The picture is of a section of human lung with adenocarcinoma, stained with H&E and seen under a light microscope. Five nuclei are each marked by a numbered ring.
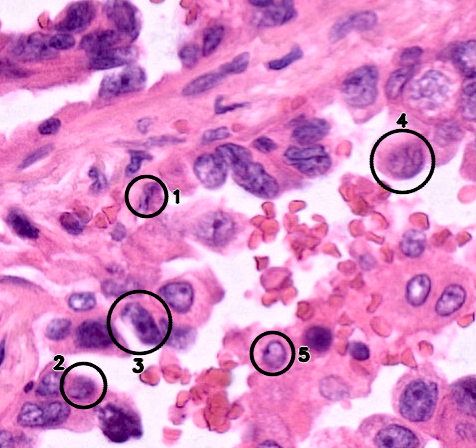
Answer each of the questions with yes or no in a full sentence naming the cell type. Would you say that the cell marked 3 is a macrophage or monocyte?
No, cell 3 does not represent a macrophage or monocyte; it represents a carcinoma cell.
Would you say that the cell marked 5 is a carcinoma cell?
No, cell 5 isn't a carcinoma cell; it's a macrophage or monocyte.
